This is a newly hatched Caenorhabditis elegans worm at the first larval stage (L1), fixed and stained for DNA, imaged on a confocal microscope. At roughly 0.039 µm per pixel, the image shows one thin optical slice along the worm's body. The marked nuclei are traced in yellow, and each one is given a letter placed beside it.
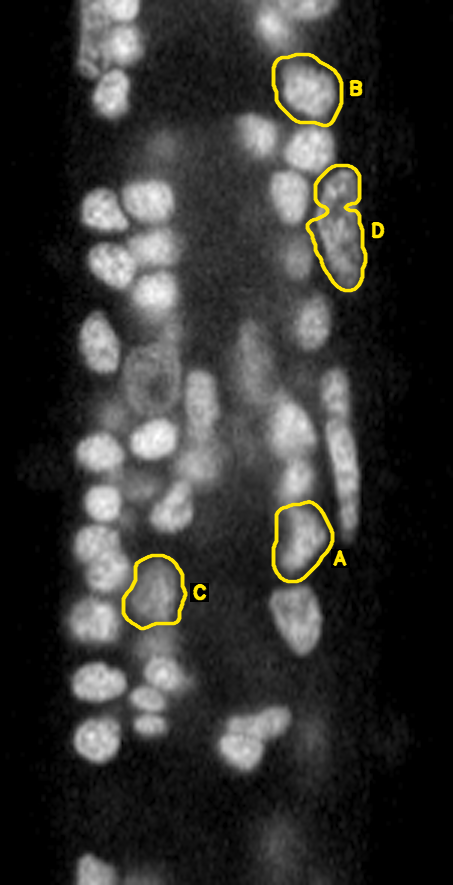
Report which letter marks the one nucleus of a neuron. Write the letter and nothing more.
B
